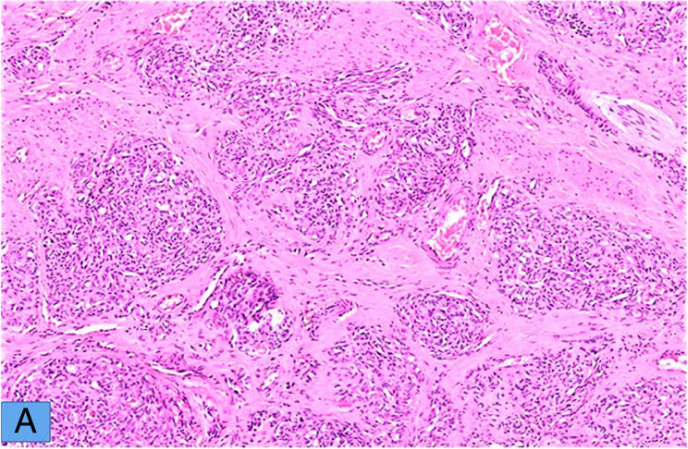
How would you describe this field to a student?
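Tumor tissue arranged as rounded glomeruloid nodules, each made of closely packed small cells around small slit-like vascular spaces. The nodules are separated by pale pink fibrous bands containing a few larger vessels with red blood cells.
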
